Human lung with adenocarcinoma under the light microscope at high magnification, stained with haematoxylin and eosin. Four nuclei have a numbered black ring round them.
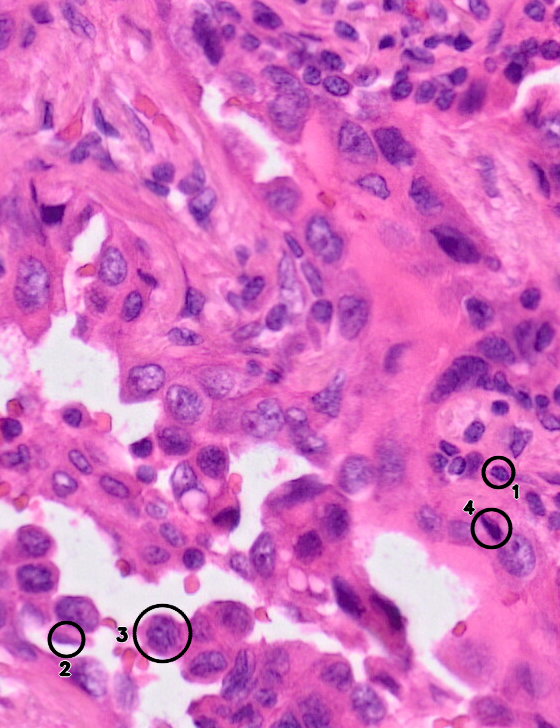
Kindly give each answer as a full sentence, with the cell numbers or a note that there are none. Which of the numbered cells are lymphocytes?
Among the cells marked with numbers, the only one that is a lymphocyte is number 1.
